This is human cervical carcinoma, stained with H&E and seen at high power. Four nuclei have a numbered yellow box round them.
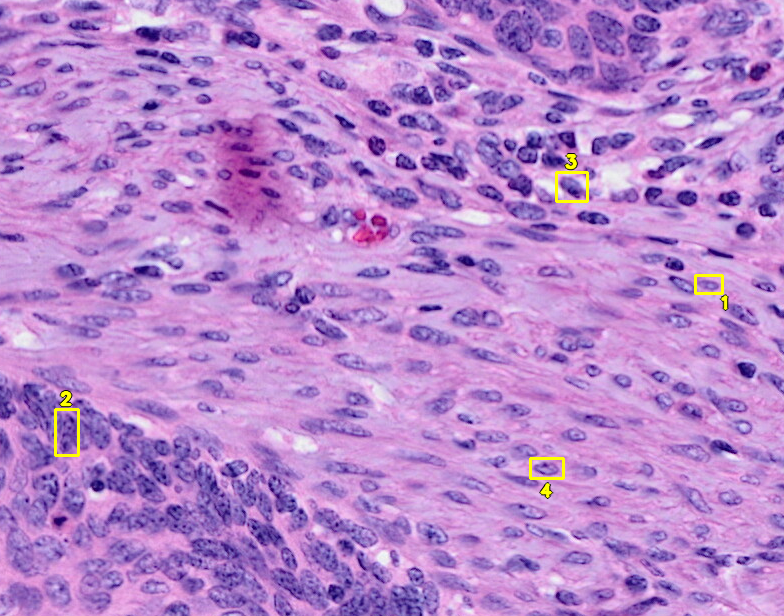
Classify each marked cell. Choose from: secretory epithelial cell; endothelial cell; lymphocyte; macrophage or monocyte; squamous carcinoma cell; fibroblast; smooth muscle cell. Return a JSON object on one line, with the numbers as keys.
{"1": "smooth muscle cell", "2": "squamous carcinoma cell", "3": "lymphocyte", "4": "smooth muscle cell"}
